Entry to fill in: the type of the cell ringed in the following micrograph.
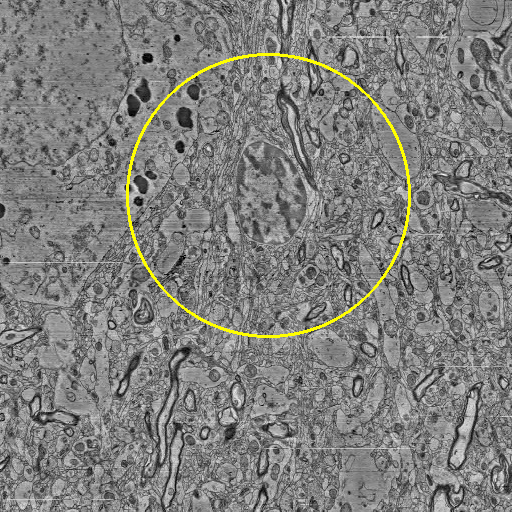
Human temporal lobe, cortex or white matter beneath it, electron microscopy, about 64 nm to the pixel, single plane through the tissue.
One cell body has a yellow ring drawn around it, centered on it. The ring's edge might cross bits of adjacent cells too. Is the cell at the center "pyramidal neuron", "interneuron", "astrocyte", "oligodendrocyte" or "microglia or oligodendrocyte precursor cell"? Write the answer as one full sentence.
This entry names a microglial cell or oligodendrocyte precursor cell as the cell whose body lies at the ring's center.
